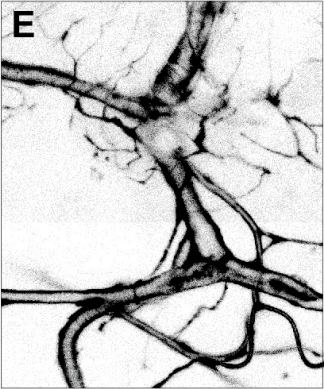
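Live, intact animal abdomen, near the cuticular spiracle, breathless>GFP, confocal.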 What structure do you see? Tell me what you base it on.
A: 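Primary trachea. Thick, wide tubes converge and branch at a central junction.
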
